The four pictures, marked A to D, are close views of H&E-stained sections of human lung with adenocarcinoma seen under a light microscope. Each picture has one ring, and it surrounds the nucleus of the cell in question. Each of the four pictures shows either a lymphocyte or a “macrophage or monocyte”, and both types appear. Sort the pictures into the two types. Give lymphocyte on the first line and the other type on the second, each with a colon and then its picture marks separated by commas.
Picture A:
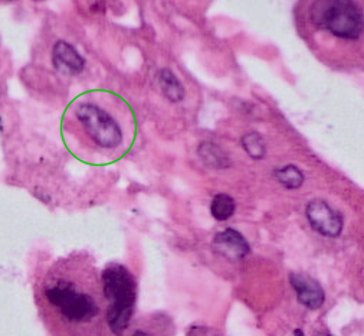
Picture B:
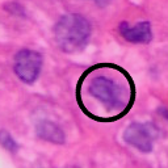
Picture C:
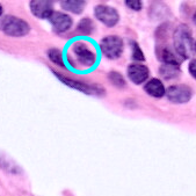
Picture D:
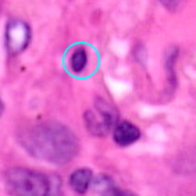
lymphocyte: C, D
macrophage or monocyte: A, B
